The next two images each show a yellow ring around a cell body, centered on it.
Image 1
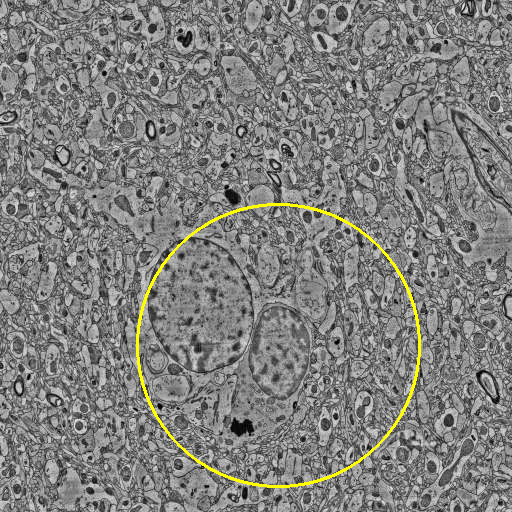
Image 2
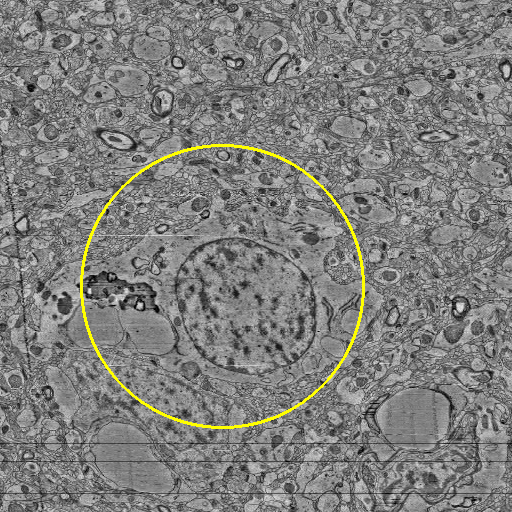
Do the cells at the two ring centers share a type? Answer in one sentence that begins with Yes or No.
No, across the two images the cells at the ring centers are of two types.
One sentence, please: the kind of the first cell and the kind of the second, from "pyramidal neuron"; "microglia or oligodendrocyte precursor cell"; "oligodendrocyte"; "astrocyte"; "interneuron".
The ring in the first picture surrounds an oligodendrocyte, and the ring in the second surrounds an astrocyte.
